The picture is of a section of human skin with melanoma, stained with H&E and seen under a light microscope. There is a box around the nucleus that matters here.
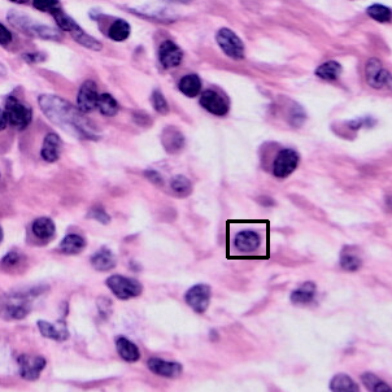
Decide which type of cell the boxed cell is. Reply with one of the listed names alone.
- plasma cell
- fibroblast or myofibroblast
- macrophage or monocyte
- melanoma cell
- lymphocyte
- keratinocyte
plasma cell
